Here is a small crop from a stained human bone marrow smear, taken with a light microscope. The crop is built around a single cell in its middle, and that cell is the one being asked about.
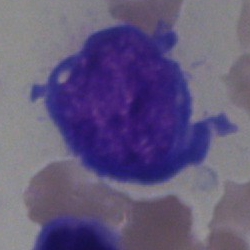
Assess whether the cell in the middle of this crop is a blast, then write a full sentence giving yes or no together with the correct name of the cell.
Yes, the cell in the central position is a blast.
